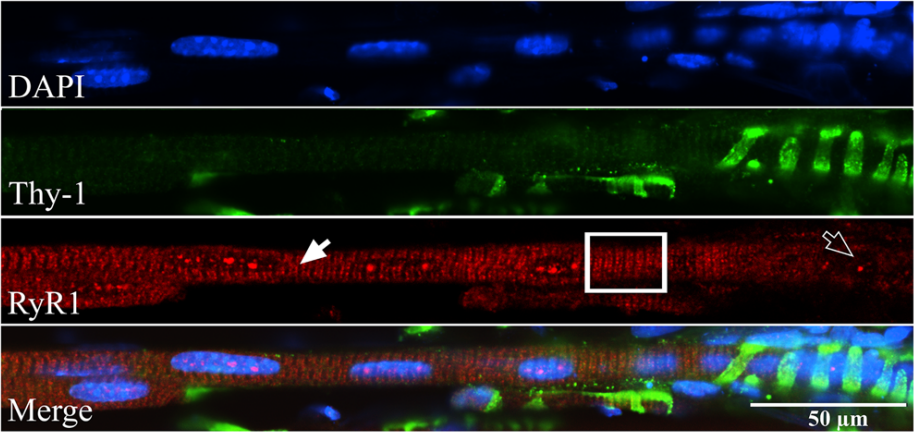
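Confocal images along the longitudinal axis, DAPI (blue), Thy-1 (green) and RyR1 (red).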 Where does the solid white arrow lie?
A: Polar region.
